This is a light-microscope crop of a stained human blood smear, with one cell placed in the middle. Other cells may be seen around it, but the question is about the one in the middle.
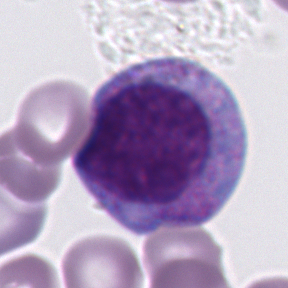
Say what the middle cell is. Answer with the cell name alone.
promyelocyte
